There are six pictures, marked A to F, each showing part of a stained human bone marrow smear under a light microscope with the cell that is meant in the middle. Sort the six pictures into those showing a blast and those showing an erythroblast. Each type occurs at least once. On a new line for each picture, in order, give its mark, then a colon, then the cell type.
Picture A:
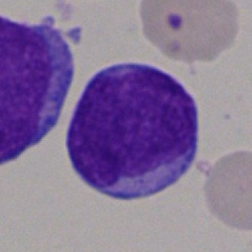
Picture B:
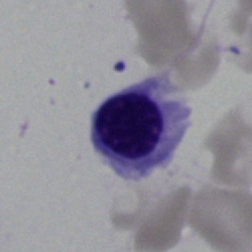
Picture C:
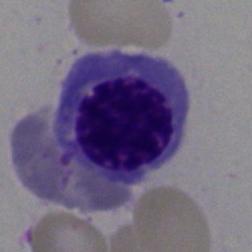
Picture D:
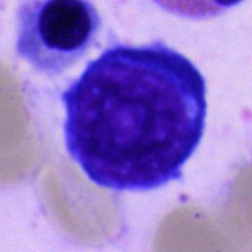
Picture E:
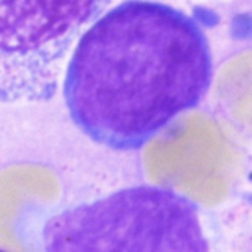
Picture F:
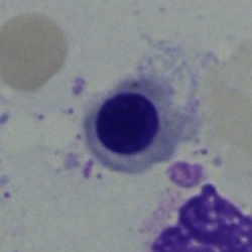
A: blast
B: erythroblast
C: erythroblast
D: erythroblast
E: blast
F: erythroblast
